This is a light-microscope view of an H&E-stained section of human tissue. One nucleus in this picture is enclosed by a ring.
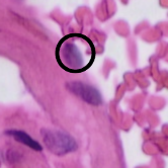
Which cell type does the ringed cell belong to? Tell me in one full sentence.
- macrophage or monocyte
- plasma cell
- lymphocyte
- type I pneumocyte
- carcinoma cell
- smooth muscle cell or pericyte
Assigned to a cell type, the ringed cell is a type I pneumocyte.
